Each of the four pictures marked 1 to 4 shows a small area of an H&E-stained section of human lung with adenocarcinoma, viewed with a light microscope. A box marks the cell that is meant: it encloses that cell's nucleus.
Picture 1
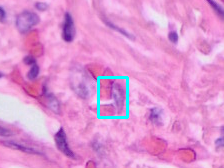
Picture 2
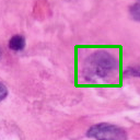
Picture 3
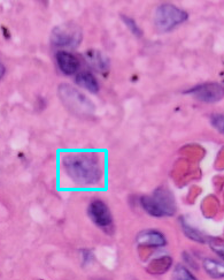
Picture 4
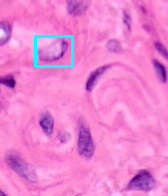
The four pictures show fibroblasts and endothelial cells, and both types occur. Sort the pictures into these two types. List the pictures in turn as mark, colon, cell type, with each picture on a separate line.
1: endothelial cell
2: fibroblast
3: fibroblast
4: endothelial cell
